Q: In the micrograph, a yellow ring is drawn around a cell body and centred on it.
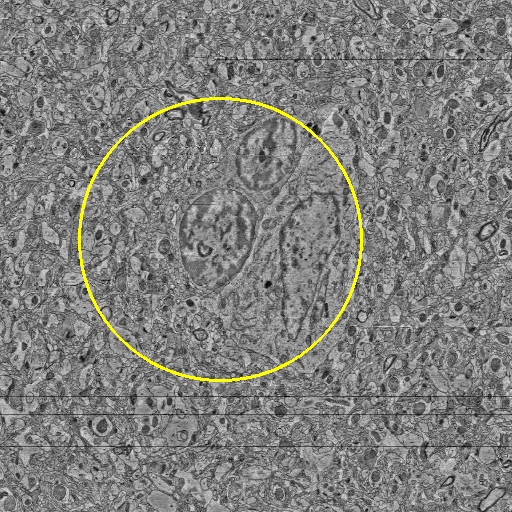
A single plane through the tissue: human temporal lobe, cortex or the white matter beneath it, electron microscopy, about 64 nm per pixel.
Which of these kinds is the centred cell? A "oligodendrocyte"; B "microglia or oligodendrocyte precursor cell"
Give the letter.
A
